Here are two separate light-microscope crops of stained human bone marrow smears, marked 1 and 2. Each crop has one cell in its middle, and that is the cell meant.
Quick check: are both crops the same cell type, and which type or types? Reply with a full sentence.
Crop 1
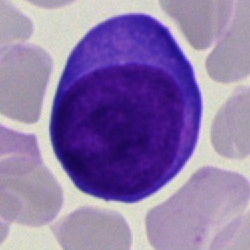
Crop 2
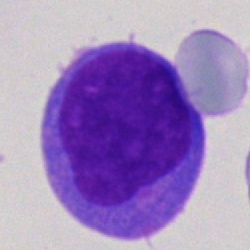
Yes, both crops show blasts at their middles.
